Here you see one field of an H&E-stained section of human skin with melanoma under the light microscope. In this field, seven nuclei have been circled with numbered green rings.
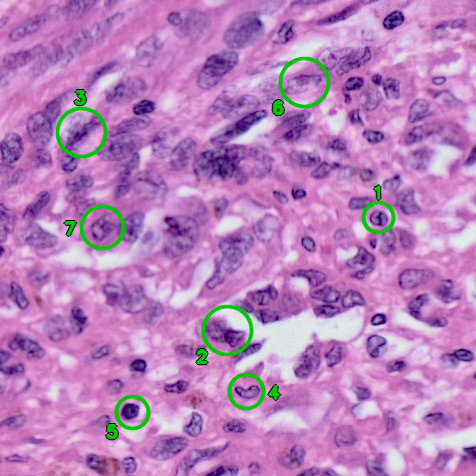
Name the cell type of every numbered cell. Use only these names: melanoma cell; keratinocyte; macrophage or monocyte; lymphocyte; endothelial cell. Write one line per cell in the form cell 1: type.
cell 1: lymphocyte
cell 2: melanoma cell
cell 3: melanoma cell
cell 4: macrophage or monocyte
cell 5: lymphocyte
cell 6: melanoma cell
cell 7: melanoma cell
